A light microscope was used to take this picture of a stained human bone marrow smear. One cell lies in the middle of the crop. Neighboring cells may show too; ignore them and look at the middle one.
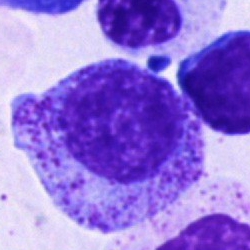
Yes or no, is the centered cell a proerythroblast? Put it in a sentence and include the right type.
No, the identification should read a promyelocyte, not a proerythroblast, for the central cell.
